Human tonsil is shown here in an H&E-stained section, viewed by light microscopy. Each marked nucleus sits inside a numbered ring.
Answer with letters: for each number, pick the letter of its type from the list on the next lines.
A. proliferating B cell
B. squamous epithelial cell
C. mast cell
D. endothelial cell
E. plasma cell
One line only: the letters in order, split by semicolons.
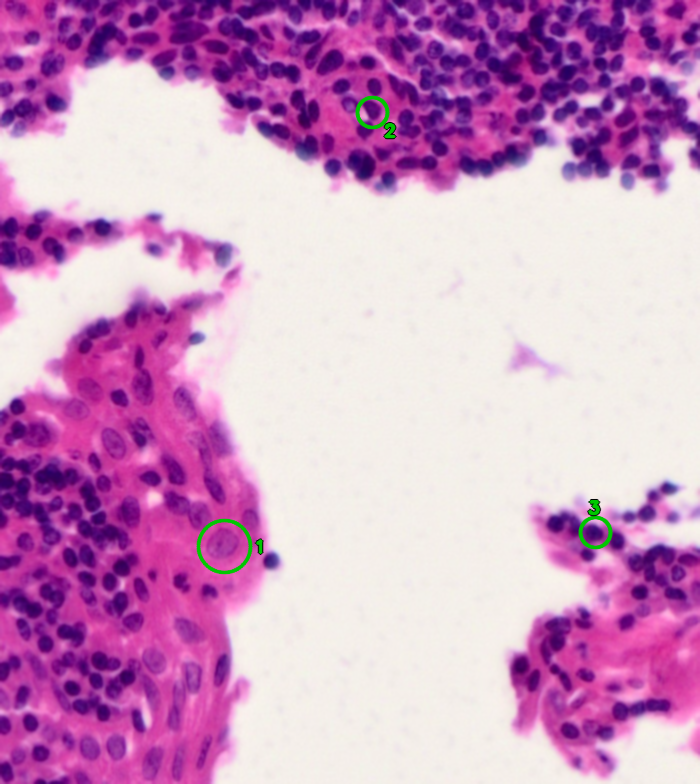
B; E; E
